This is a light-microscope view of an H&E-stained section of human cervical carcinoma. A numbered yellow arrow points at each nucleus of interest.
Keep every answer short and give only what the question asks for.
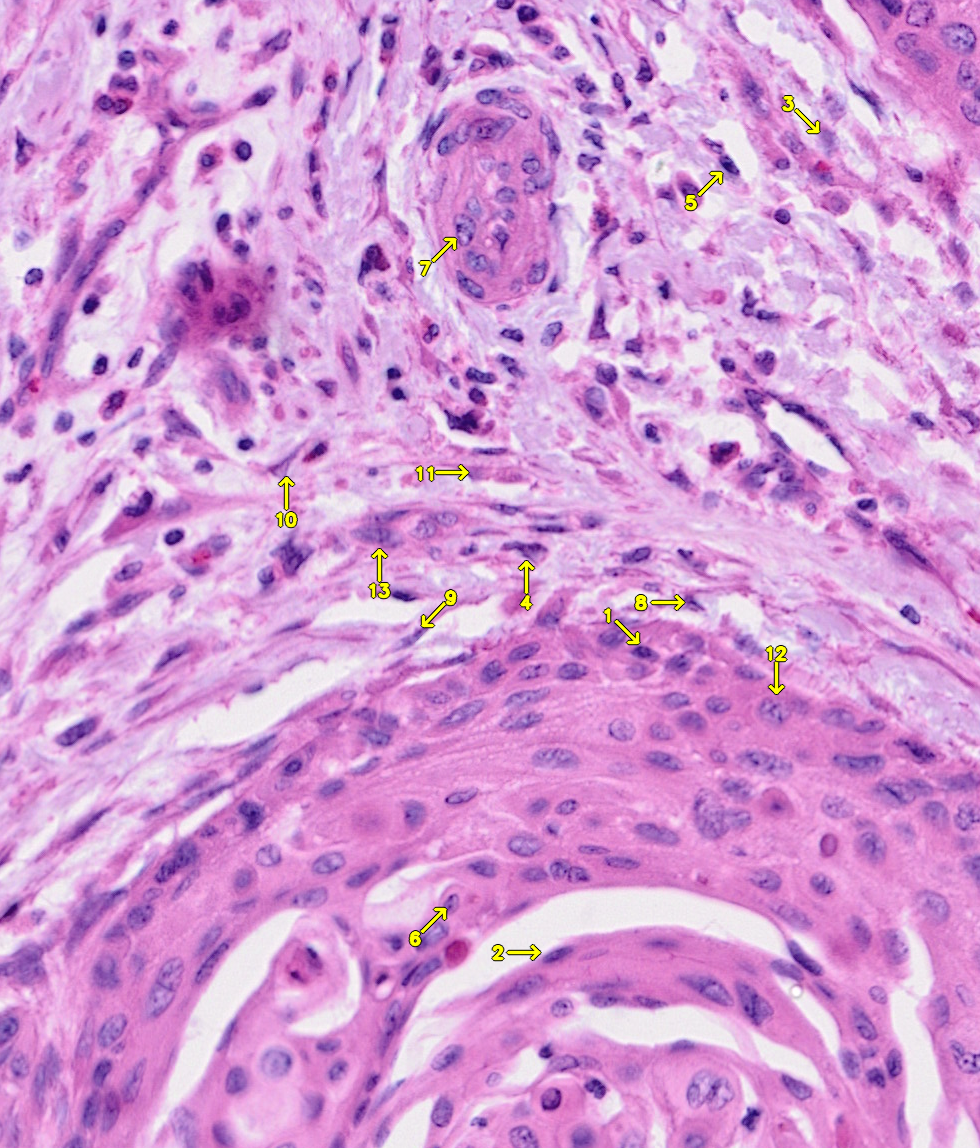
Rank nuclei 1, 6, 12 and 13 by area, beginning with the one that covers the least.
6, 1, 12, 13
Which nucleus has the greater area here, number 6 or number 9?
9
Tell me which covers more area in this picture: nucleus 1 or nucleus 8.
1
